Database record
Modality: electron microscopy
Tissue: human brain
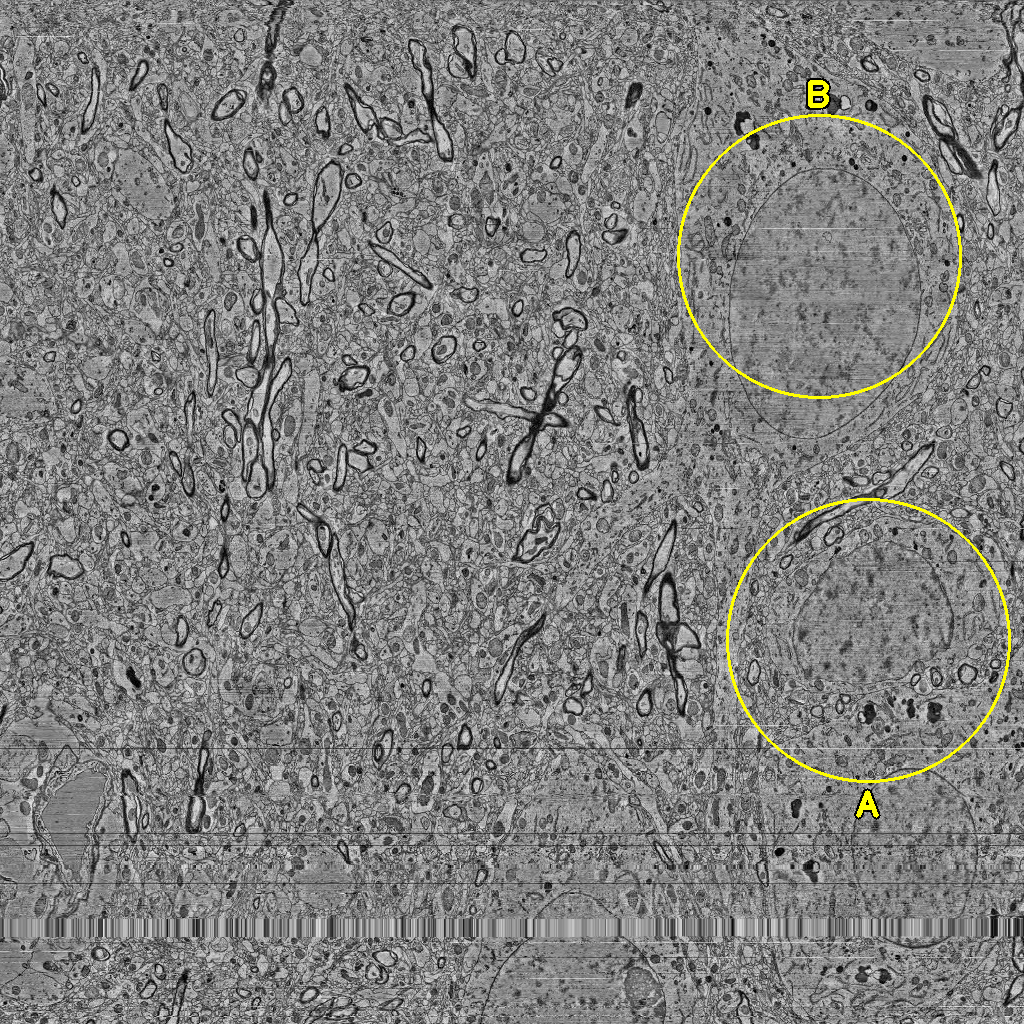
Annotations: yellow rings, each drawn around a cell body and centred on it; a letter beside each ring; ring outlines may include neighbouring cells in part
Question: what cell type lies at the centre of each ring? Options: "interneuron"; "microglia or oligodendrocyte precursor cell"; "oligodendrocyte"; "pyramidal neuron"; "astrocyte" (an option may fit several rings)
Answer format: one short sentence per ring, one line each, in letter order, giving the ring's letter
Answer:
Ring A corresponds to an interneuron.
Ring B corresponds to a pyramidal neuron.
